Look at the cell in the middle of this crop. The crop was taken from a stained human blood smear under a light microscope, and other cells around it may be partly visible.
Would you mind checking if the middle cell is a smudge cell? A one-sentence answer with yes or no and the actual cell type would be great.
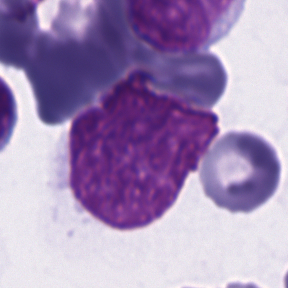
Yes, within this crop, the central cell is a smudge cell.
